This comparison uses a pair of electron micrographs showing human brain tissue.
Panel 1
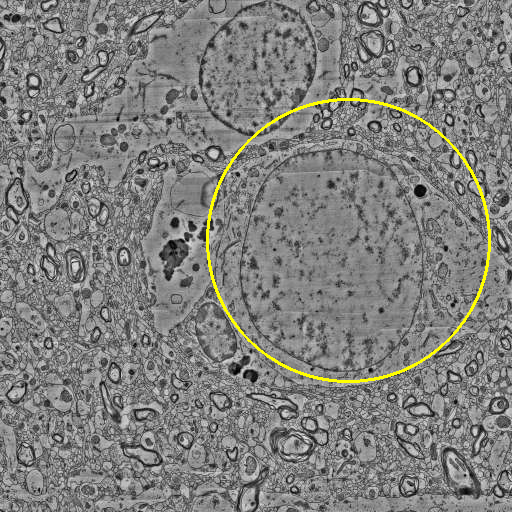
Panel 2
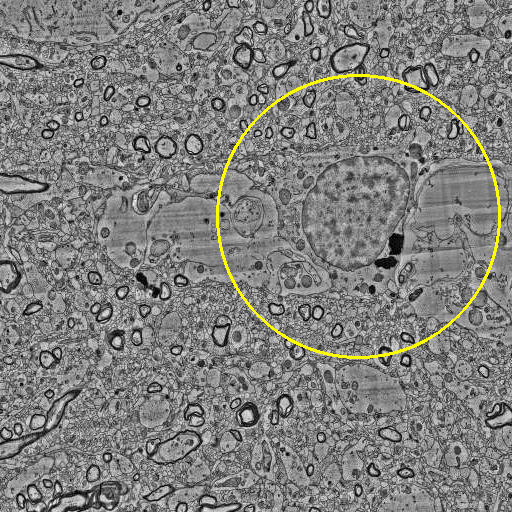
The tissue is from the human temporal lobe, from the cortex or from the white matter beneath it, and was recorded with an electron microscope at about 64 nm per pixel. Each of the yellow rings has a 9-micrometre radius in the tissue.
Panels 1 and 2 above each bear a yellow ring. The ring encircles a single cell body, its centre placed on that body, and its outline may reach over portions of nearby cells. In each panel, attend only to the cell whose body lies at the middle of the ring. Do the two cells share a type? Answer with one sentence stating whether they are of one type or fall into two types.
In Panel 1 and Panel 2, the cells at the centres of the rings fall into two types.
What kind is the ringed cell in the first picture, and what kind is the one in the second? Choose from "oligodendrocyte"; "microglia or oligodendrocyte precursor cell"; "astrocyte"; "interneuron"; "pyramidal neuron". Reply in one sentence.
The first cell is a pyramidal neuron; the second is an oligodendrocyte.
